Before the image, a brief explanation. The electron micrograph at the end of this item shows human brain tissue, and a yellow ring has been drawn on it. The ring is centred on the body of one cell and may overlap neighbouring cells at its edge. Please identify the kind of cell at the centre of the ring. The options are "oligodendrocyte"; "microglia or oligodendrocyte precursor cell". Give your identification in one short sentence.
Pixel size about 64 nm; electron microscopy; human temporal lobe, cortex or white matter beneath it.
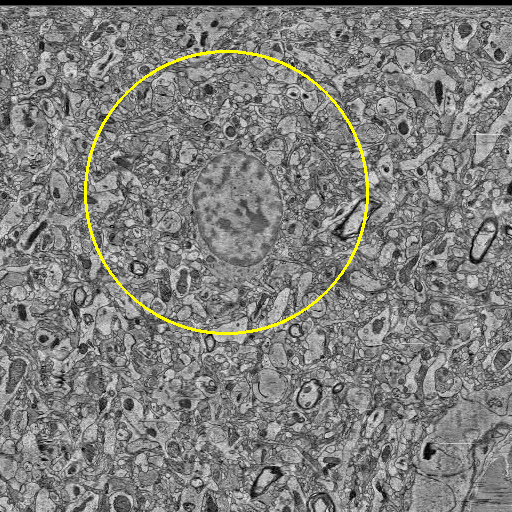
The ring has been placed around an oligodendrocyte.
